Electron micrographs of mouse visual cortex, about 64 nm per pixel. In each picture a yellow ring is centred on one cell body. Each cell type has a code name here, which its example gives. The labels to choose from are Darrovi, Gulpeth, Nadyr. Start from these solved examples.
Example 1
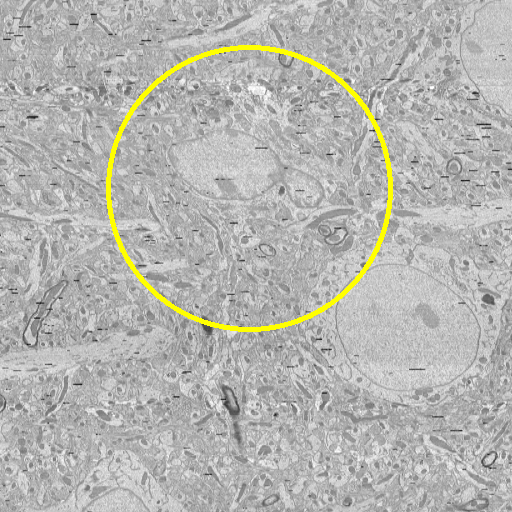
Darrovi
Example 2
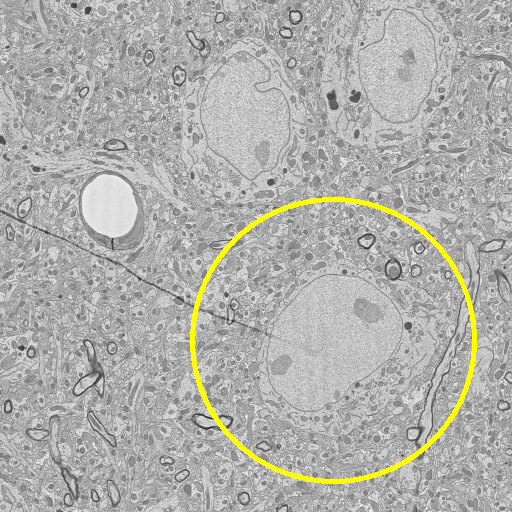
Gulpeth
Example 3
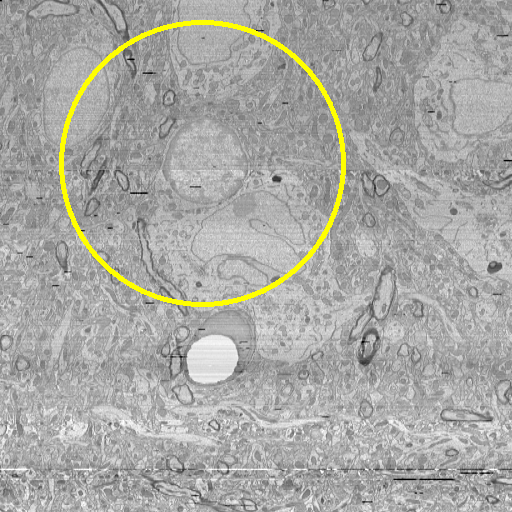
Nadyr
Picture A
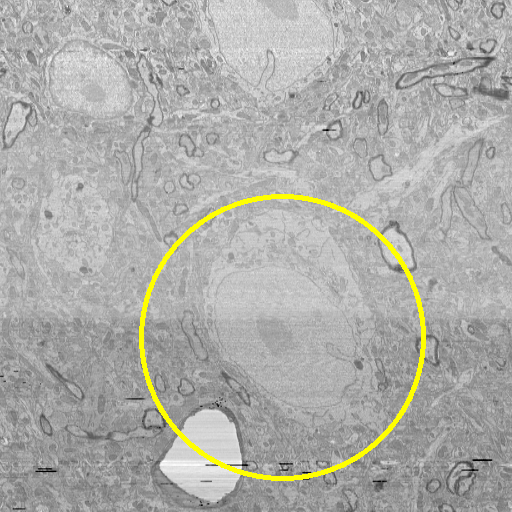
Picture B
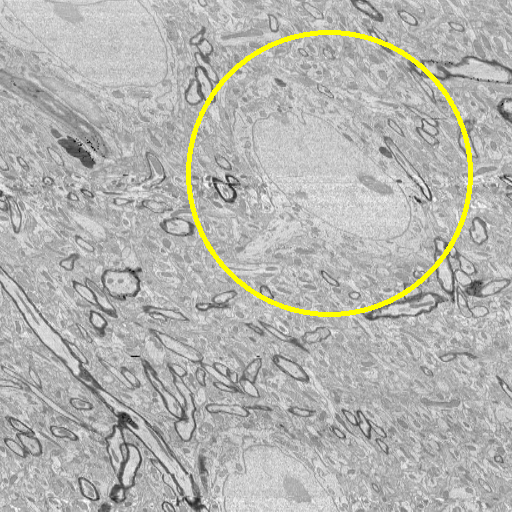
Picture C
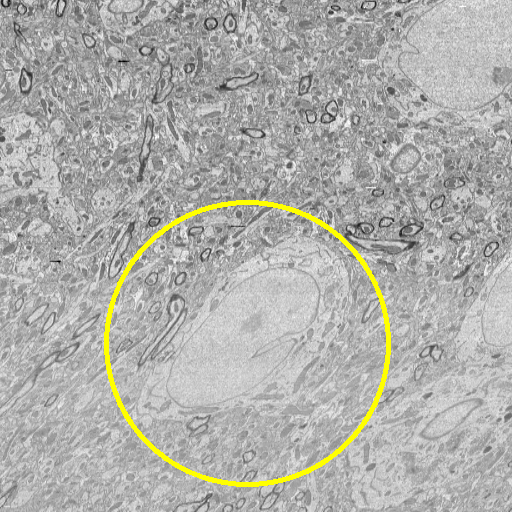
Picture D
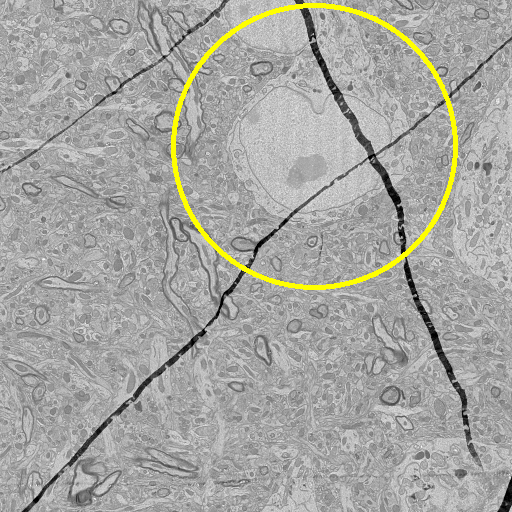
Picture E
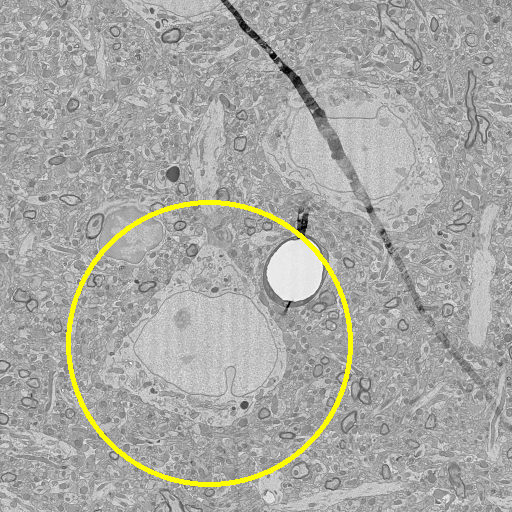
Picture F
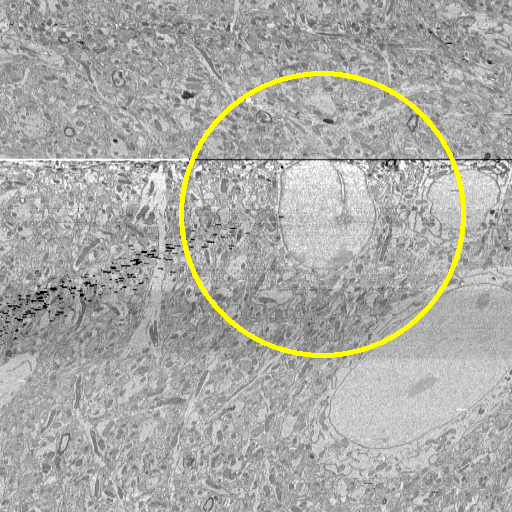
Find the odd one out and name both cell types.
Exception: F, showing Darrovi. Remaining pictures: Gulpeth.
